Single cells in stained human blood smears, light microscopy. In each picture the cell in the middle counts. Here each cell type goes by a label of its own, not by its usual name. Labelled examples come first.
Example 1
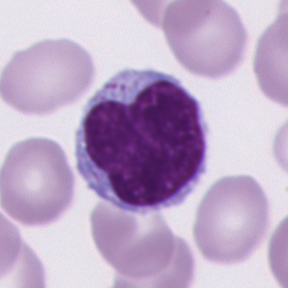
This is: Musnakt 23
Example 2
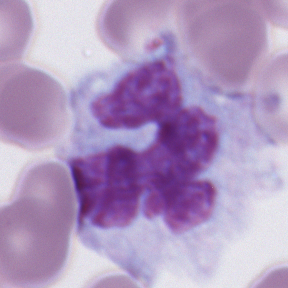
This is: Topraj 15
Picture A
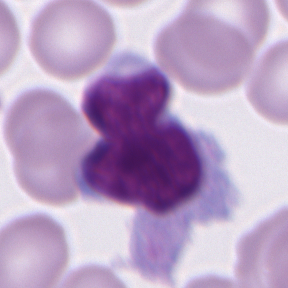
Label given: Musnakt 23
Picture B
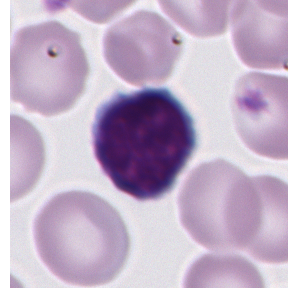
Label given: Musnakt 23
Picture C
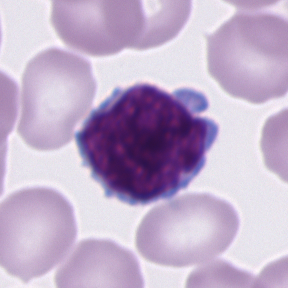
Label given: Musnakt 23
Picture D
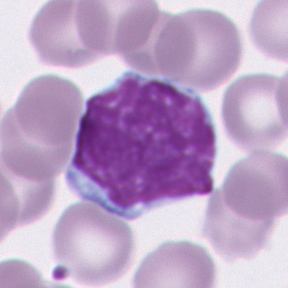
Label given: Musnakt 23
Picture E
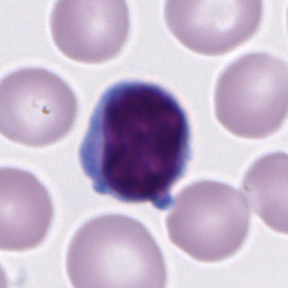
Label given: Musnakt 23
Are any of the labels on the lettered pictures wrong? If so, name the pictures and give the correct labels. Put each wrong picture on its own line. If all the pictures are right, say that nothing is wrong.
Nothing to fix; every label fits.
